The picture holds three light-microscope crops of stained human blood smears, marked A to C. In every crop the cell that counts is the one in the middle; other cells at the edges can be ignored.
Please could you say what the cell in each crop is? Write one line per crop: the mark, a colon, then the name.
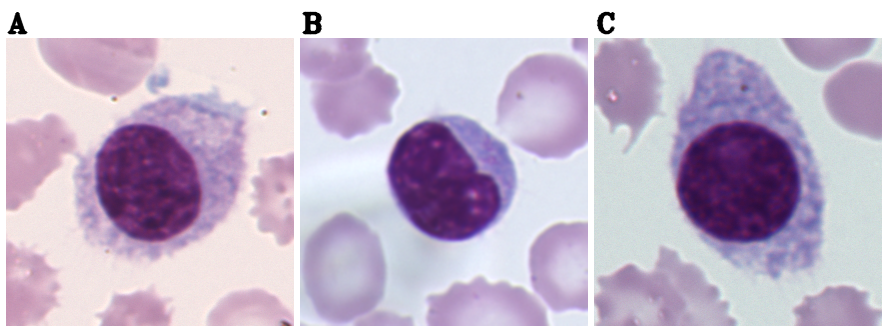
A: hairy cell
B: typical lymphocyte
C: hairy cell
